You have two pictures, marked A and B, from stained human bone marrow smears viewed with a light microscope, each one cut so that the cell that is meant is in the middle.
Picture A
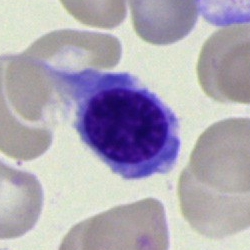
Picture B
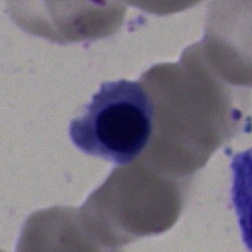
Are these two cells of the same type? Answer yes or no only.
yes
